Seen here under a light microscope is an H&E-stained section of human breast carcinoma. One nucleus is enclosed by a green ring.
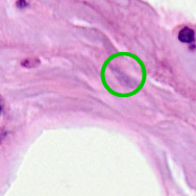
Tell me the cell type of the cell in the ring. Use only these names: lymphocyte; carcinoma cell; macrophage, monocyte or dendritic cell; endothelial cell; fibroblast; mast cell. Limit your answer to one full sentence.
Within this tissue, the cell in the ring is a fibroblast.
